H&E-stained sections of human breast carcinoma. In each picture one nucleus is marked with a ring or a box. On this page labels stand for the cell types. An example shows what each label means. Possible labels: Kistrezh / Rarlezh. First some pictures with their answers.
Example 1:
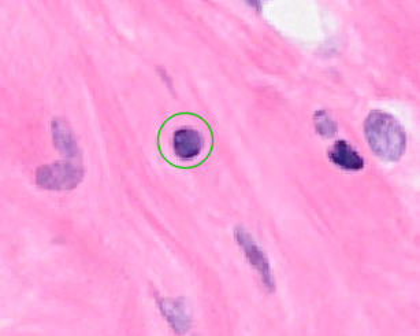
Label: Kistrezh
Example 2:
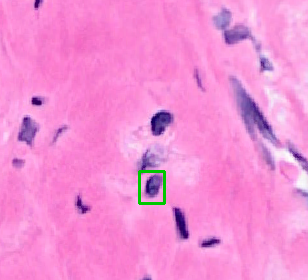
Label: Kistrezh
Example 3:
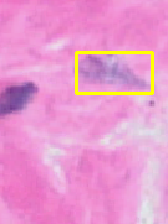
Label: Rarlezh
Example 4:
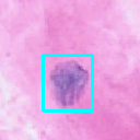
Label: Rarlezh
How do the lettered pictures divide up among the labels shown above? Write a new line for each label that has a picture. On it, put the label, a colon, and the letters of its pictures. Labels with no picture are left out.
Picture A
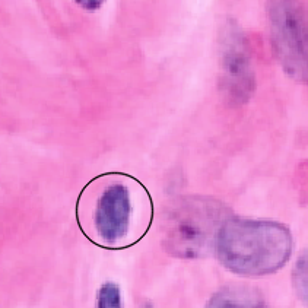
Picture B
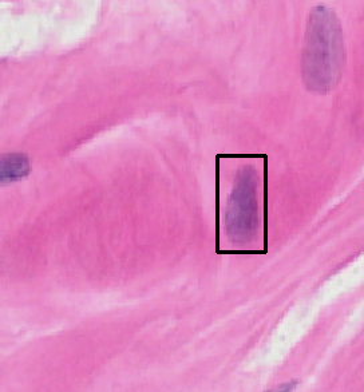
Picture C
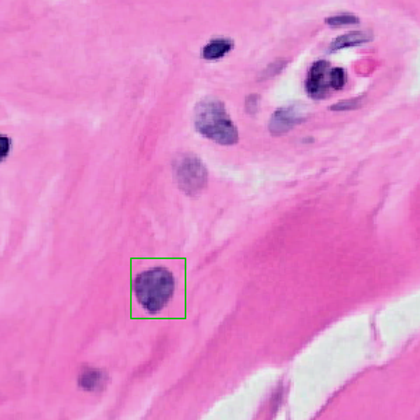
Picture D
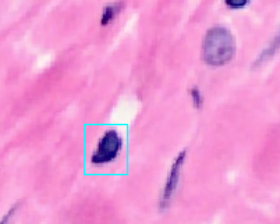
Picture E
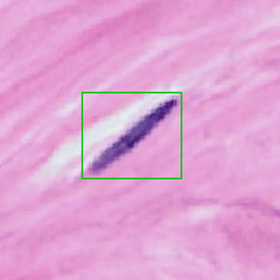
Kistrezh: A, C, D
Rarlezh: B, E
